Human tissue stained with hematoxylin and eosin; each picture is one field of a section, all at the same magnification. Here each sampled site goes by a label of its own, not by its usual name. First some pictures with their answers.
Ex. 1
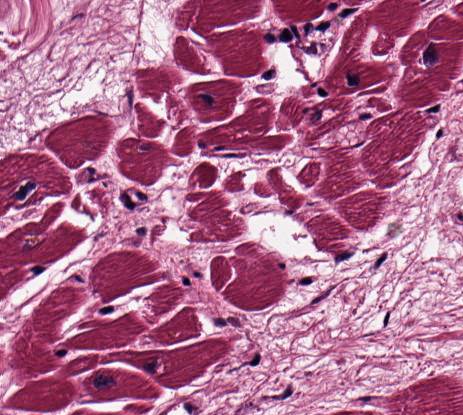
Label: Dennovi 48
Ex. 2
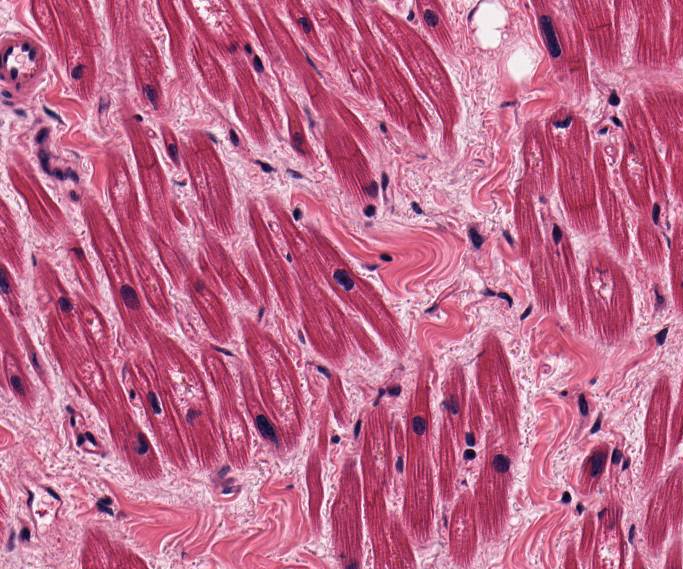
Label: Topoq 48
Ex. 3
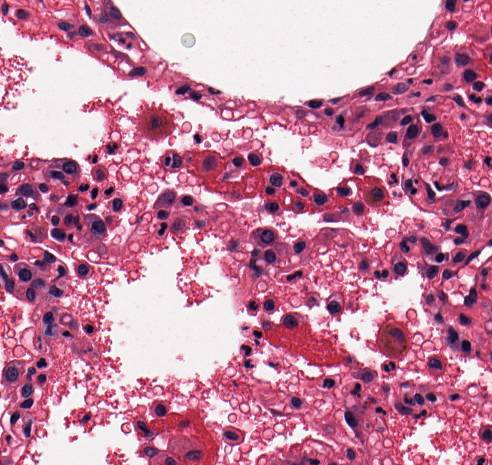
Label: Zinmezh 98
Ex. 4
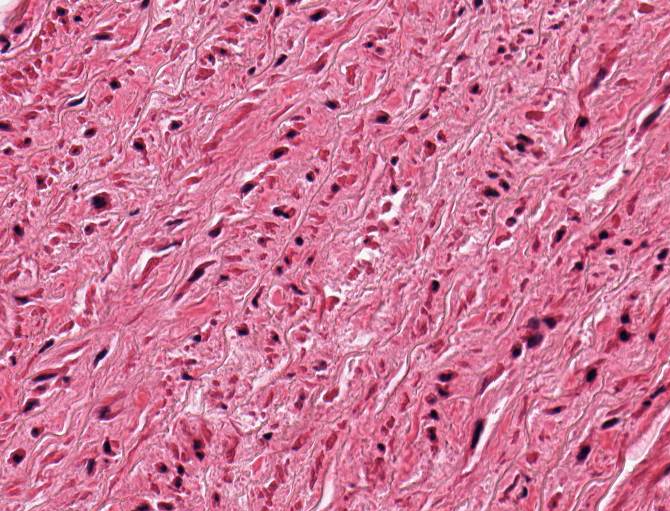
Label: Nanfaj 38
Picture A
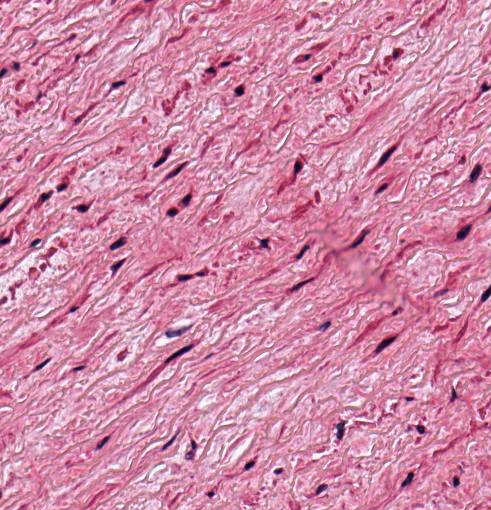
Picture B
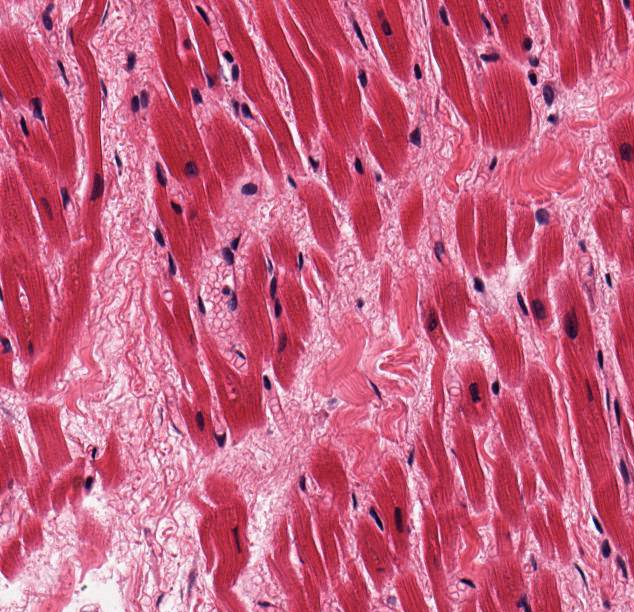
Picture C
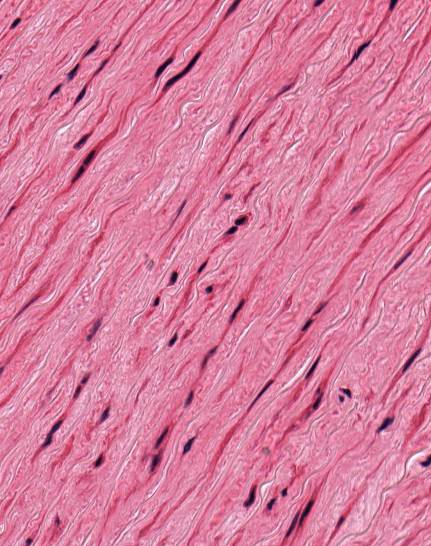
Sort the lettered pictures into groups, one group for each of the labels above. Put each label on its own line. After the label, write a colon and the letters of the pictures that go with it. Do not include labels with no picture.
Topoq 48: B
Nanfaj 38: A, C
